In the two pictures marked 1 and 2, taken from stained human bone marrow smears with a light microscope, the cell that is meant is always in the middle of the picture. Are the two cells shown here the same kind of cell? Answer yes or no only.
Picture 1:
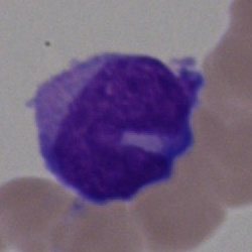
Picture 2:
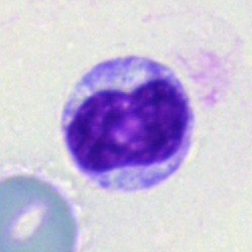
no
